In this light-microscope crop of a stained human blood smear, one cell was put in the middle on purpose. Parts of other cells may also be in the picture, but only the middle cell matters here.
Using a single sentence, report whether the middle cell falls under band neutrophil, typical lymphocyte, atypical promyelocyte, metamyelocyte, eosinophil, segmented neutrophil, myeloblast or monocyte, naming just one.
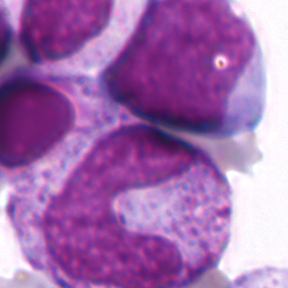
In the centre of this crop there is a band neutrophil.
